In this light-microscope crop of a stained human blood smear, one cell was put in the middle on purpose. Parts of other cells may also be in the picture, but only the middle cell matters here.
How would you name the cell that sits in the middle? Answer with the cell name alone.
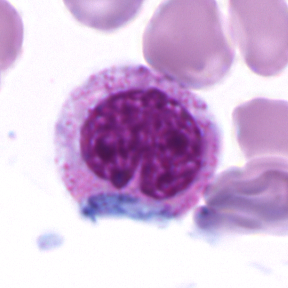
band neutrophil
